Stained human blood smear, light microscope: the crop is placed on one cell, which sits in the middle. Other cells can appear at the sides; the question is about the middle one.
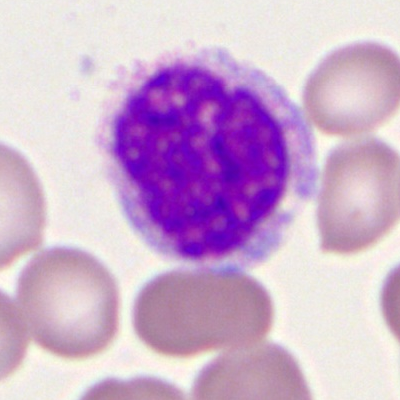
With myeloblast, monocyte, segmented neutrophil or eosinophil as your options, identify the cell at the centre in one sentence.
The middle position in this crop is taken by a monocyte.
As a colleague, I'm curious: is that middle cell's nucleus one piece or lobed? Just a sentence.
Round, oval or kidney-shaped, the nucleus is one compact mass.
